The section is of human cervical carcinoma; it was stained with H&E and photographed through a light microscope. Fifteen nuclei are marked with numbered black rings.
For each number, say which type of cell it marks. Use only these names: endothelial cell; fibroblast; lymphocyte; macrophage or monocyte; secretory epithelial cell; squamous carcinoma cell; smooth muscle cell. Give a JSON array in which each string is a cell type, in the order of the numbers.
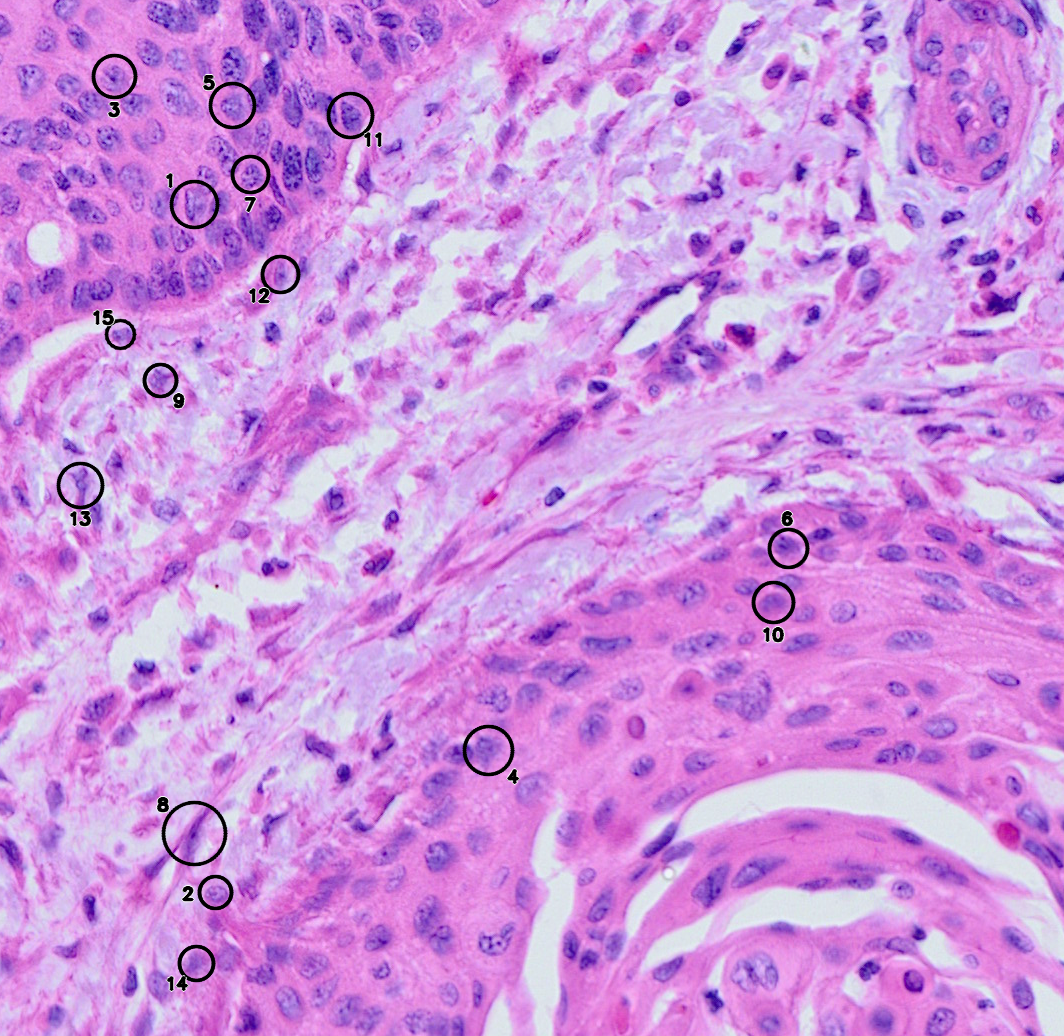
["squamous carcinoma cell", "fibroblast", "squamous carcinoma cell", "squamous carcinoma cell", "squamous carcinoma cell", "squamous carcinoma cell", "squamous carcinoma cell", "fibroblast", "fibroblast", "squamous carcinoma cell", "squamous carcinoma cell", "fibroblast", "fibroblast", "fibroblast", "fibroblast"]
